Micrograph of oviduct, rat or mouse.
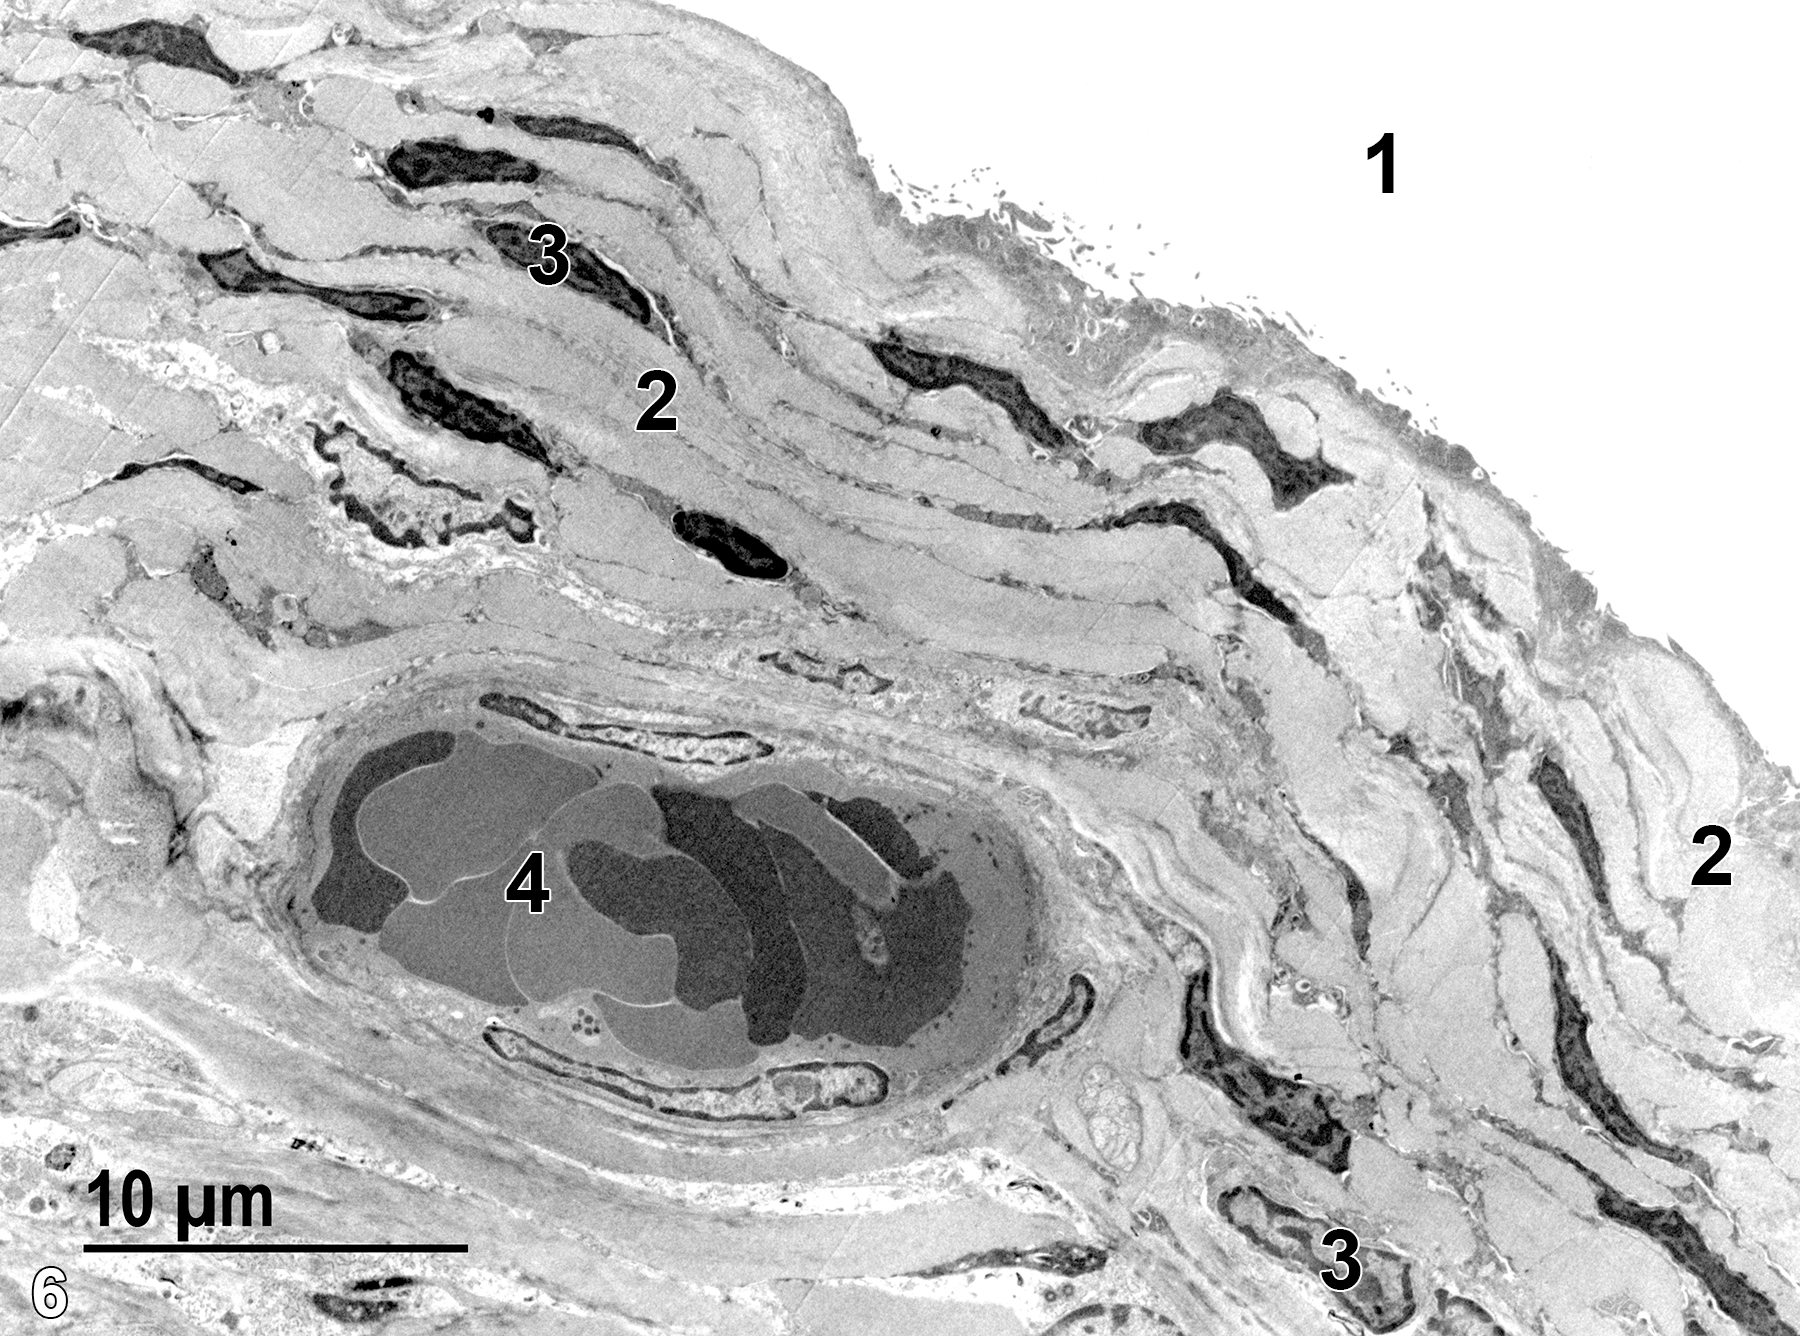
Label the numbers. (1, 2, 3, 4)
1 - peritoneal cavity
2 - bundles of collagen
3 - fibroblast nuclei
4 - small venule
